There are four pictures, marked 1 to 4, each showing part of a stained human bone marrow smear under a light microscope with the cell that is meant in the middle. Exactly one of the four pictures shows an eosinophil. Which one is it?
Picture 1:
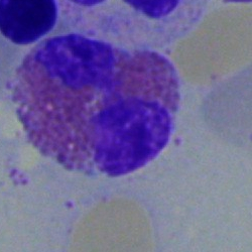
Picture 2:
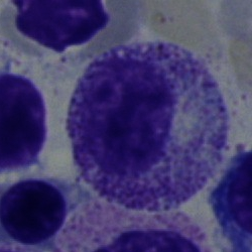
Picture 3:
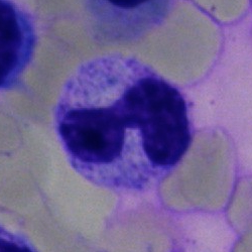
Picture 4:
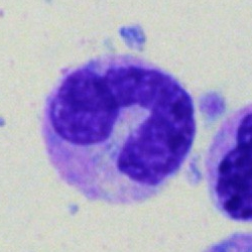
1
